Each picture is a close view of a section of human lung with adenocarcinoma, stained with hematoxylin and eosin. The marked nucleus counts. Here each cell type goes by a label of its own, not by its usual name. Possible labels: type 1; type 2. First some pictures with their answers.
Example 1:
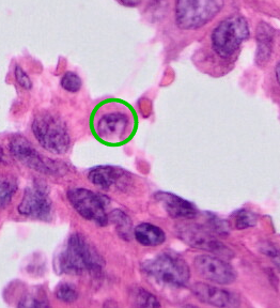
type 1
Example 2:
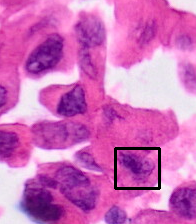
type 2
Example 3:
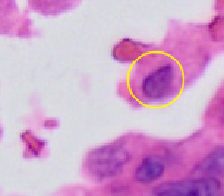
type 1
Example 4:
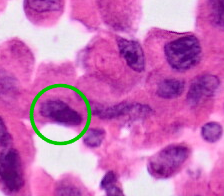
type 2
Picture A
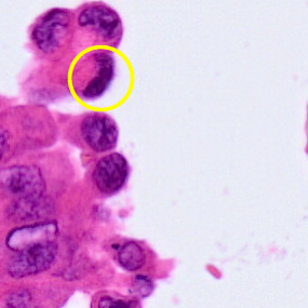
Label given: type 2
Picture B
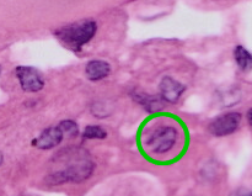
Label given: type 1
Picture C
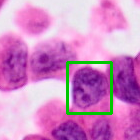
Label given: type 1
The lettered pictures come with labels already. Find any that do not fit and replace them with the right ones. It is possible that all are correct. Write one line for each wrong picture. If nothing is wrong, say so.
C: type 2, not type 1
